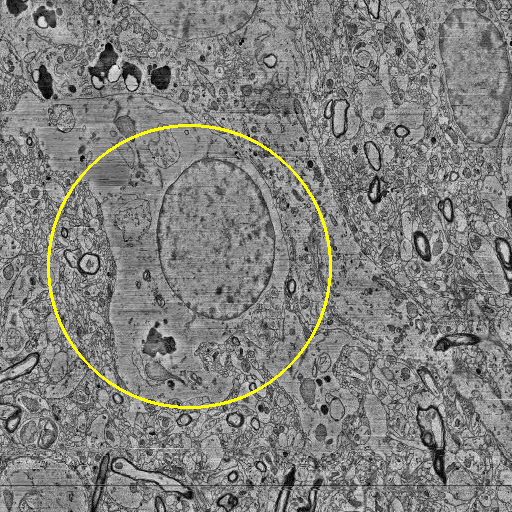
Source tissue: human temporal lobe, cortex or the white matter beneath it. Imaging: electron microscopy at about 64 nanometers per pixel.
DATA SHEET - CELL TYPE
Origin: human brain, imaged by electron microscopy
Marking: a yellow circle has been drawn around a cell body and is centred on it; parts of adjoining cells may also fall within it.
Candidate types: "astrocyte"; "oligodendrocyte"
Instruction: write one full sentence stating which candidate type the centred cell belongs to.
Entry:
The cell body at the centre of the yellow ring in this micrograph belongs to an astrocyte.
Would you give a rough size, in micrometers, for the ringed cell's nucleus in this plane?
In this plane, about 11 micrometres in length and 8 in width.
